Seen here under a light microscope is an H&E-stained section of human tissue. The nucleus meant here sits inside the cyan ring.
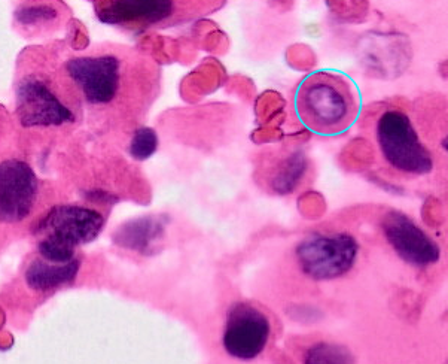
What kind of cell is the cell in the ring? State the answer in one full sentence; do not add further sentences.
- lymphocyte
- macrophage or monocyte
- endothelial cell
In this tissue section, the cell in the ring is to be classed as a macrophage or monocyte.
